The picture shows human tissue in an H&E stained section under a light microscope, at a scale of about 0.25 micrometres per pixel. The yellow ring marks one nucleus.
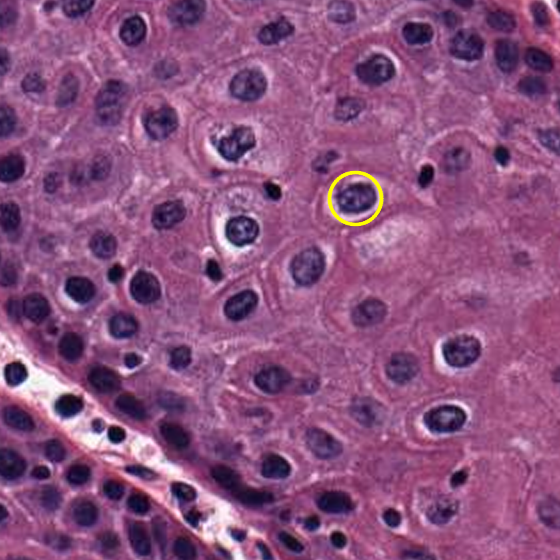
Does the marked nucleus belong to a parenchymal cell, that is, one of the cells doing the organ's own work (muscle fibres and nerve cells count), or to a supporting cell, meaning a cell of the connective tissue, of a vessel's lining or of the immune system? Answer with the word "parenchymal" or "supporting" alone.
parenchymal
